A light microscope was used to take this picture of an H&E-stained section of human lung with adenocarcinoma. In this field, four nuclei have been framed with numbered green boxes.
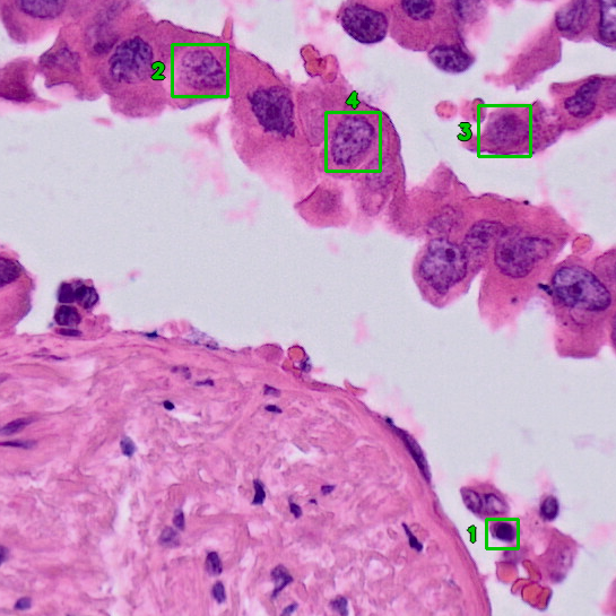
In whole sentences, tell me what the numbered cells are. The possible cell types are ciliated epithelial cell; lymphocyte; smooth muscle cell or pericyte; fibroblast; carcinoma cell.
Cell 1 is a lymphocyte, cell 2 is a carcinoma cell, cell 3 is a carcinoma cell and cell 4 is a carcinoma cell.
